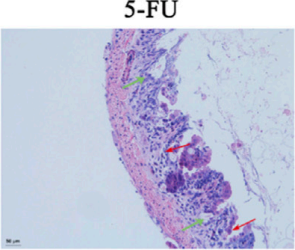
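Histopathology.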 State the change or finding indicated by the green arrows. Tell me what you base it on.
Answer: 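Near the muscle layer the glandular units at the base of the mucosa are sparse and disorganised. That points to this answer: loss of crypt architecture.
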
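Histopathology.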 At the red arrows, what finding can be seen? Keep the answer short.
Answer: Shortened intestinal villus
